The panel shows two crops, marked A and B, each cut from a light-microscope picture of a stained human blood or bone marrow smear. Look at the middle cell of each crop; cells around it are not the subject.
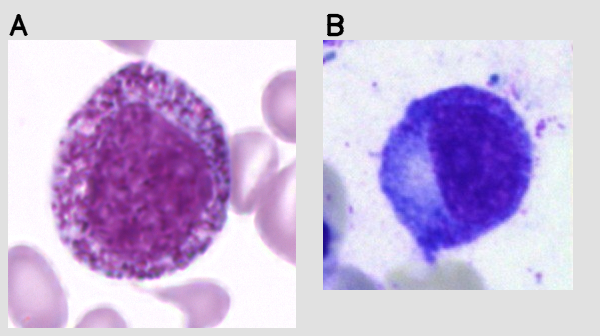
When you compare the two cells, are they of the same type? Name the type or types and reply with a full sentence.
Yes, promyelocytes are shown in both crops.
